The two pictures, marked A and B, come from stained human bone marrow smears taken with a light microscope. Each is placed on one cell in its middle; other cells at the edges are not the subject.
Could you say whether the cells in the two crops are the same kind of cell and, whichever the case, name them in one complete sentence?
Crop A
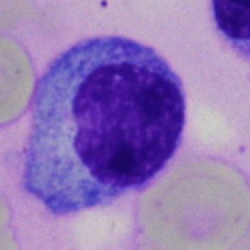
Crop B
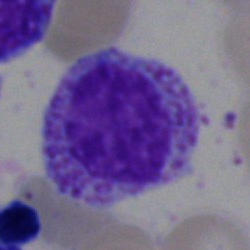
Yes, myelocytes are at the centre in both crops.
